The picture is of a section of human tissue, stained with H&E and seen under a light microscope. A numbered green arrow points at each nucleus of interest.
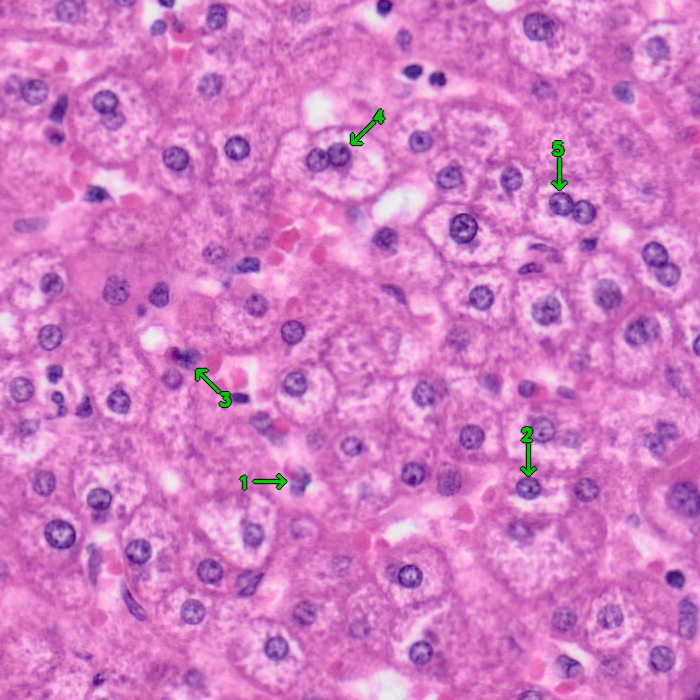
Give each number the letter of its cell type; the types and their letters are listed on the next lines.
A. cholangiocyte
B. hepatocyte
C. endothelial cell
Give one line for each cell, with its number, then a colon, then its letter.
1: C
2: B
3: C
4: B
5: B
